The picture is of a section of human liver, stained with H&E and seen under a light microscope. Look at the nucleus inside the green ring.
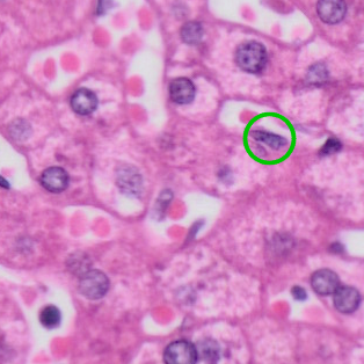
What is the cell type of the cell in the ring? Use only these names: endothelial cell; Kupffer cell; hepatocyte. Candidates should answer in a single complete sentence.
It is as a Kupffer cell that the cell in the ring is recorded.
